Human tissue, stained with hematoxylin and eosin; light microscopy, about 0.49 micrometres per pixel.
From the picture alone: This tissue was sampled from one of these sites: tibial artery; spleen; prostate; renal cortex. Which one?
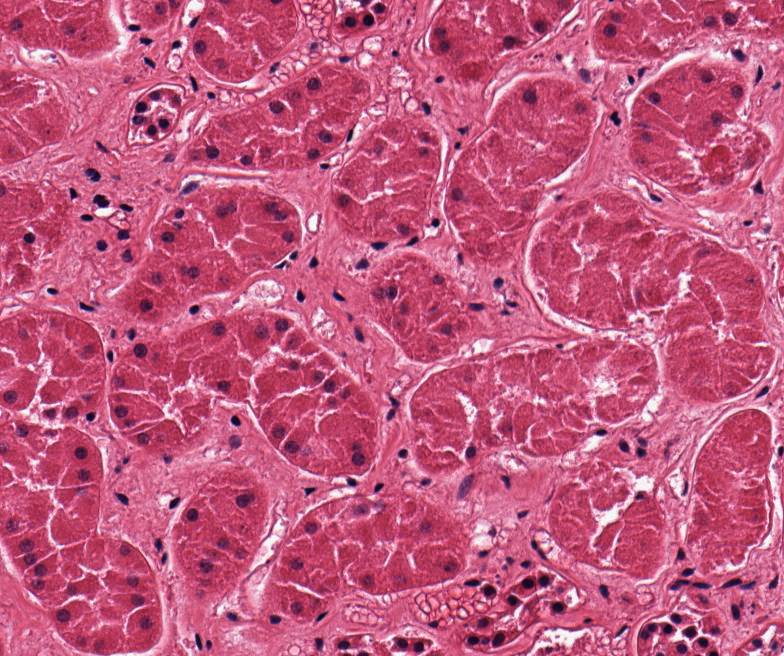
renal cortex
